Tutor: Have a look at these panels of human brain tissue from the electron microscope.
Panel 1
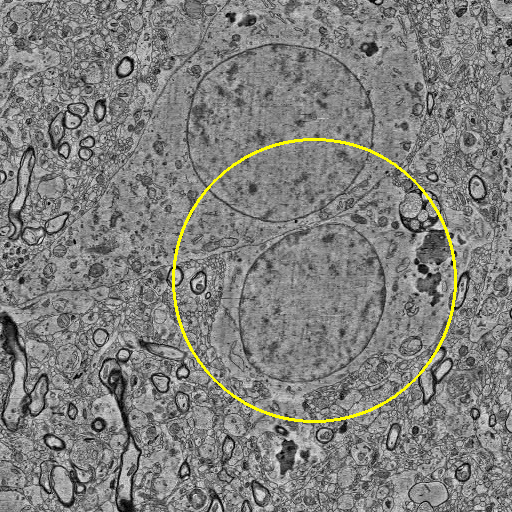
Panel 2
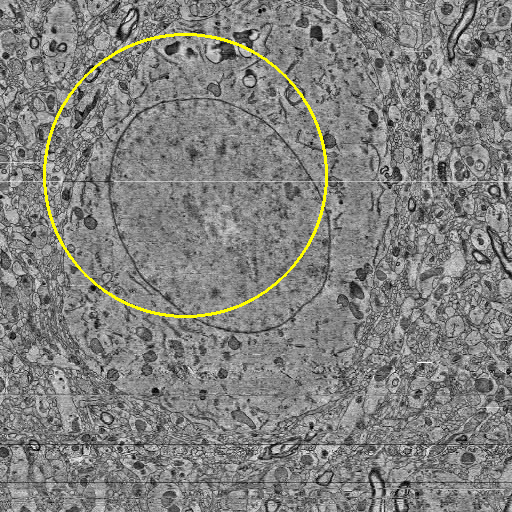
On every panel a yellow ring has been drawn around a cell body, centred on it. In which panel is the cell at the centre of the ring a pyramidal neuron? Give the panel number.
2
